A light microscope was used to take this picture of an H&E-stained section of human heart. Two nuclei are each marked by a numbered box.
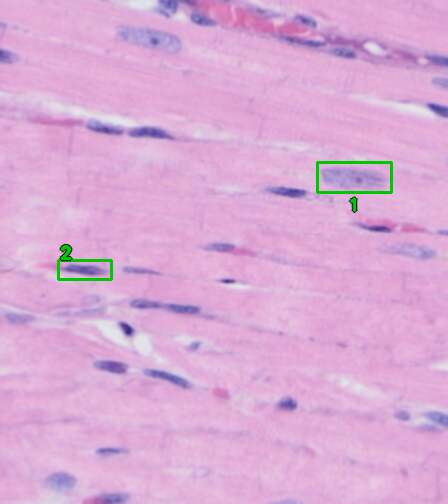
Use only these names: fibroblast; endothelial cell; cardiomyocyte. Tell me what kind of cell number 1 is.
cardiomyocyte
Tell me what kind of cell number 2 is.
endothelial cell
